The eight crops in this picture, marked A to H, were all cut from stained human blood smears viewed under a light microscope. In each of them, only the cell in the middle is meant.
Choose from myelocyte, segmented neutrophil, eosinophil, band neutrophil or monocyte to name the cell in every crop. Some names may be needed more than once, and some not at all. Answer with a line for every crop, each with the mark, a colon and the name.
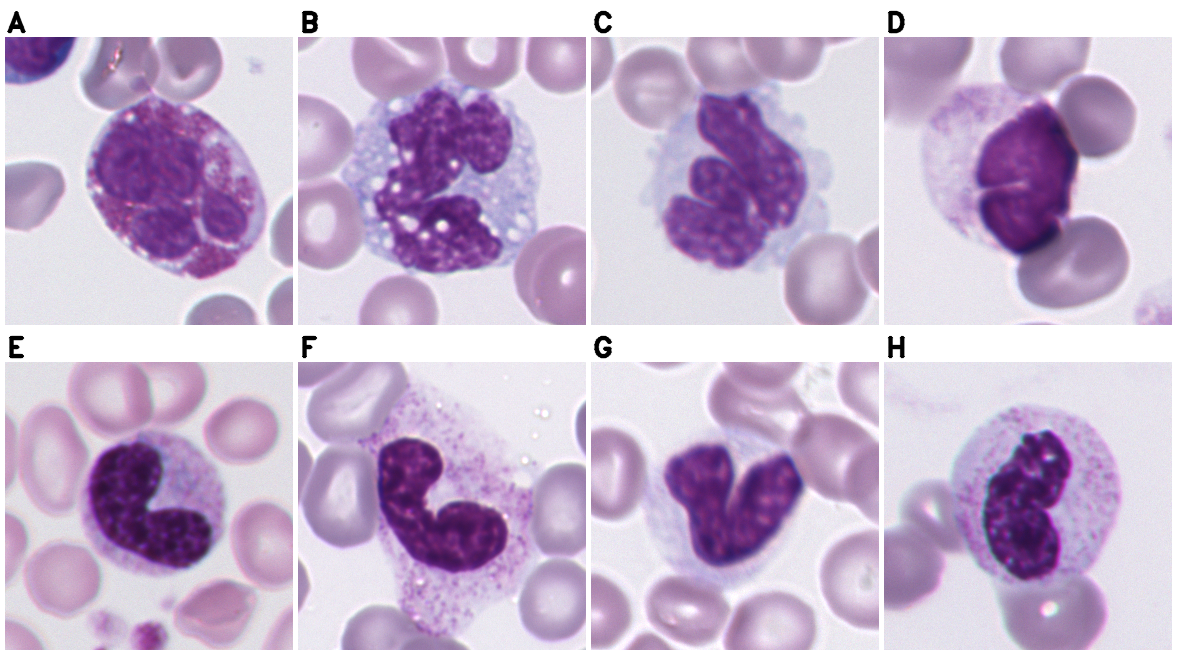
A: eosinophil
B: monocyte
C: monocyte
D: band neutrophil
E: band neutrophil
F: band neutrophil
G: band neutrophil
H: band neutrophil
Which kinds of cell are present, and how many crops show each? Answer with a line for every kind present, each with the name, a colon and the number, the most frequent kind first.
band neutrophil: 5
monocyte: 2
eosinophil: 1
